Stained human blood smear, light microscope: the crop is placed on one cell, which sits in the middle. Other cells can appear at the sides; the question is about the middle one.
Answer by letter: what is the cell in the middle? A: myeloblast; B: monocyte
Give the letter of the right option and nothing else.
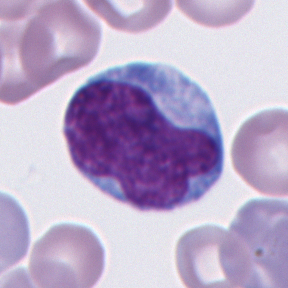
A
